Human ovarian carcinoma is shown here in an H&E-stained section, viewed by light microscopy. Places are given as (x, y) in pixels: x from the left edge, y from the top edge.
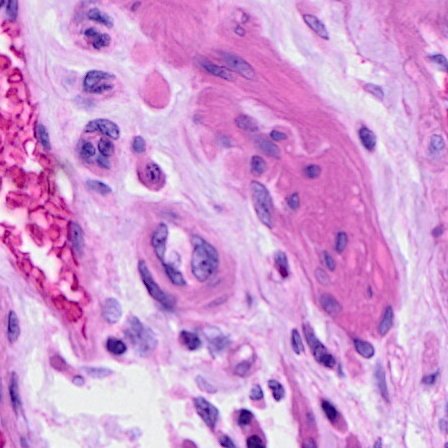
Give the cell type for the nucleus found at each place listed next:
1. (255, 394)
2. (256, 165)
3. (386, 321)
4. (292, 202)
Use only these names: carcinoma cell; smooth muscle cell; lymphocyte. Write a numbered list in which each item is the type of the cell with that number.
1. lymphocyte
2. smooth muscle cell
3. smooth muscle cell
4. smooth muscle cell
